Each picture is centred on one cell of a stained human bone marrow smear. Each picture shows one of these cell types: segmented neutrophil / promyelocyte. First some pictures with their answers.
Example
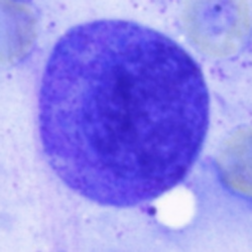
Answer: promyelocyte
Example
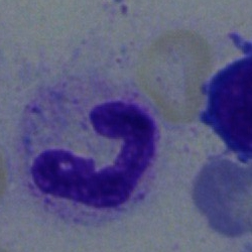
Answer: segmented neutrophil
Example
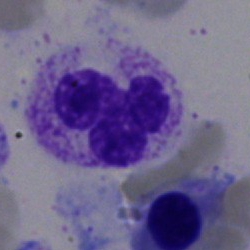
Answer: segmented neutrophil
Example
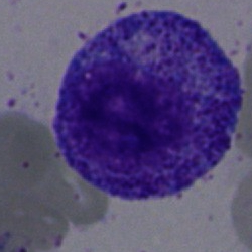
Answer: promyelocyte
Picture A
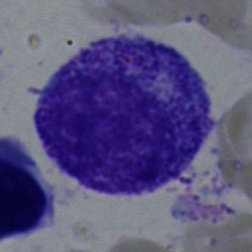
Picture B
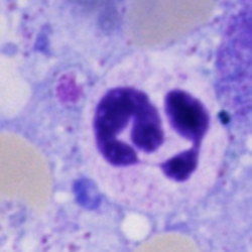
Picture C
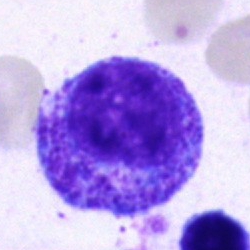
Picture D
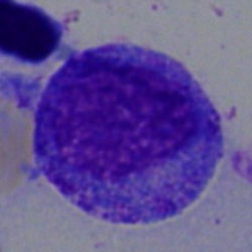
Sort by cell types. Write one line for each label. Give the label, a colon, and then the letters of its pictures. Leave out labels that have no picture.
segmented neutrophil: B
promyelocyte: A, C, D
